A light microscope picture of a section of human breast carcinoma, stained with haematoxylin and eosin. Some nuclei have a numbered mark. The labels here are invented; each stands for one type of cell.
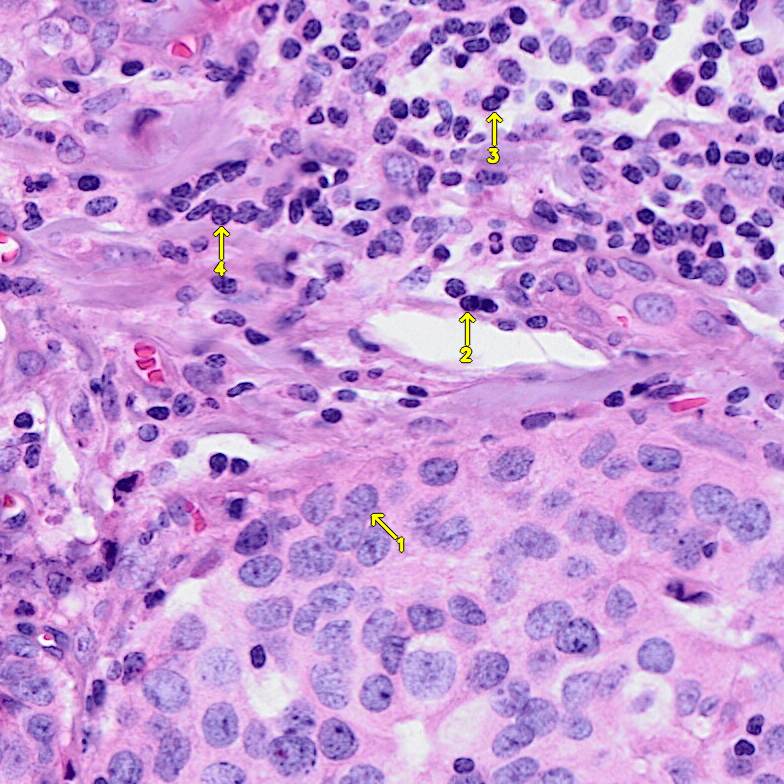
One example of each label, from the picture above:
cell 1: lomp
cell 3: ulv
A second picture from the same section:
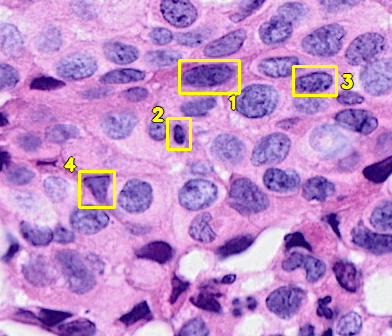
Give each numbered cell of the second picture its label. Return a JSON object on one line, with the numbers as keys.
{"1": "lomp", "2": "ulv", "3": "lomp", "4": "lomp"}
